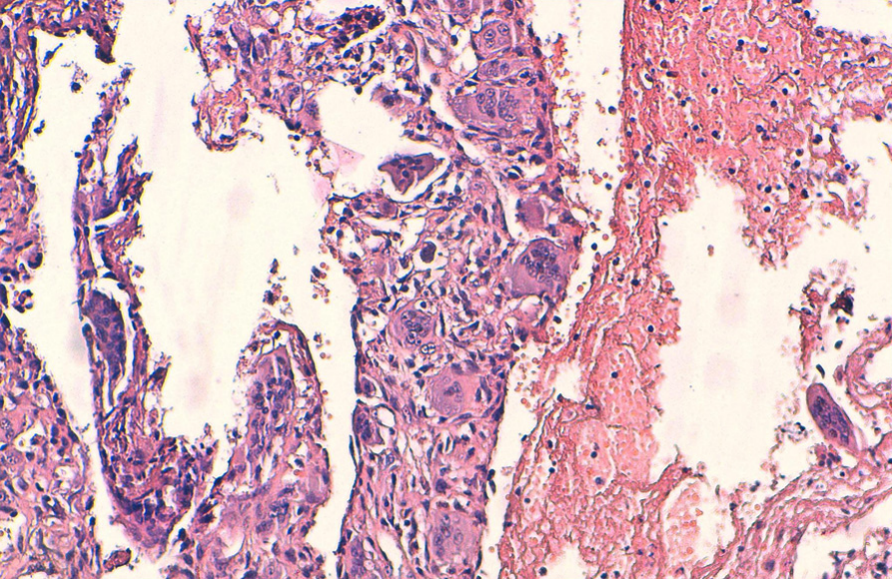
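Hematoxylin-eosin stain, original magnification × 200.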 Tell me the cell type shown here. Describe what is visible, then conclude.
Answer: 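Large cells with pink cytoplasm lie in the tissue strands. Each of these large cells holds a cluster of many nuclei. They are much larger than the surrounding spindle cells. On this evidence: multinucleated giant cells.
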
